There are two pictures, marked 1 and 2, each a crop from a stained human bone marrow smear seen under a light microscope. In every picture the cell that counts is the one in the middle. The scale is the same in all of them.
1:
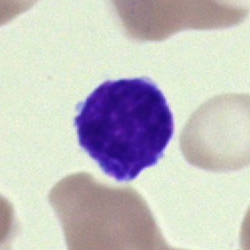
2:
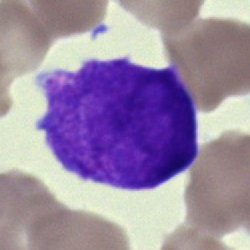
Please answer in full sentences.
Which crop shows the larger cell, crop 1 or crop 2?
Larger is the cell in crop 2, at roughly 2 times the area of the other.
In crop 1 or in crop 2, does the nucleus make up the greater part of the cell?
In crop 1 the nucleus takes up the larger part of its cell.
